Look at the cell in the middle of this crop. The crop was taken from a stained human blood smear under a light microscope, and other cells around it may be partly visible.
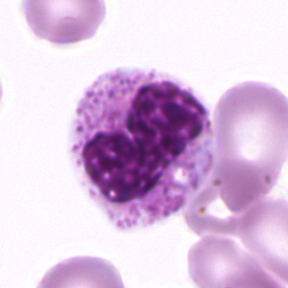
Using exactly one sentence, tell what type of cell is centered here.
The middle position in this crop is taken by a band neutrophil.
